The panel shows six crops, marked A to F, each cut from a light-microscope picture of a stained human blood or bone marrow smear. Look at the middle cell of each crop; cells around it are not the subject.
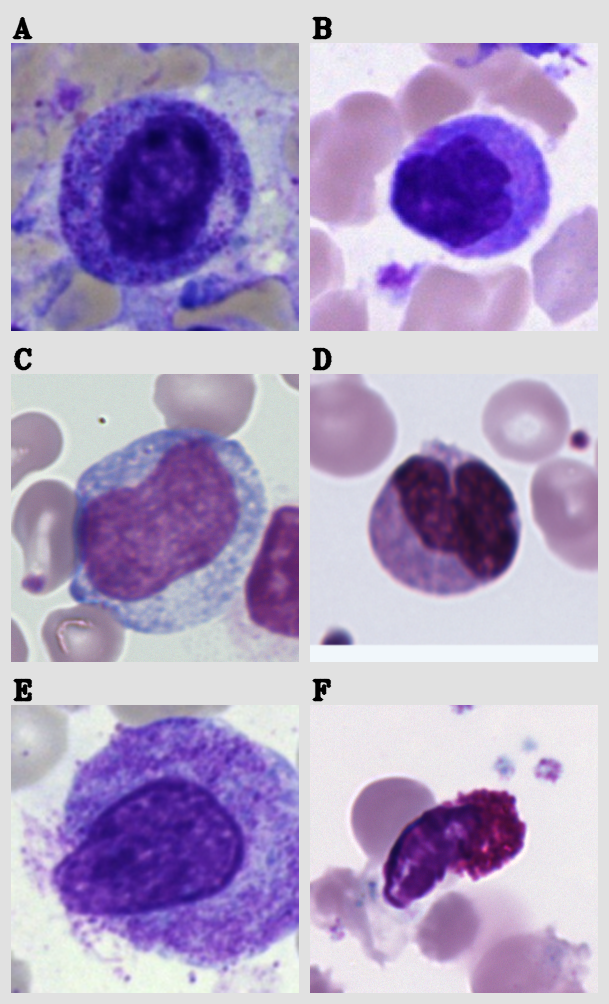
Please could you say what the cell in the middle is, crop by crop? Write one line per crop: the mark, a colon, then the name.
A: promyelocyte
B: monocyte
C: promyelocyte
D: monocyte
E: promyelocyte
F: eosinophil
